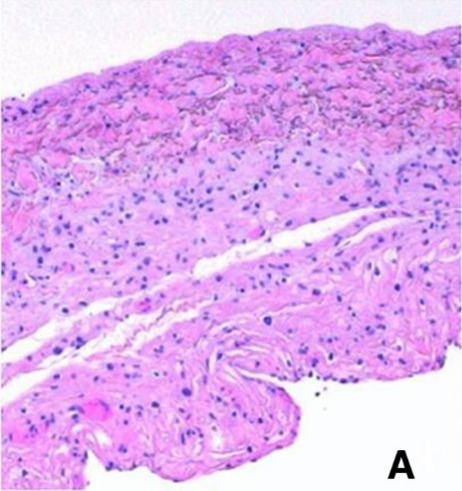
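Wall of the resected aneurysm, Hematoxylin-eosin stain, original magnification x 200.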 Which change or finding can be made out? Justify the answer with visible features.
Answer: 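Infiltration of inflammatory cells. Many small dark round nuclei are scattered through the pink fibrous wall.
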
